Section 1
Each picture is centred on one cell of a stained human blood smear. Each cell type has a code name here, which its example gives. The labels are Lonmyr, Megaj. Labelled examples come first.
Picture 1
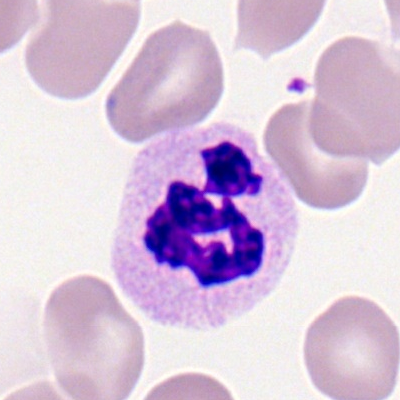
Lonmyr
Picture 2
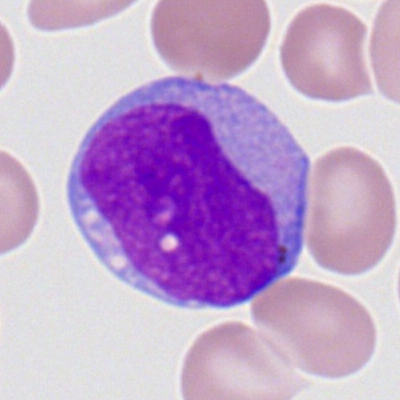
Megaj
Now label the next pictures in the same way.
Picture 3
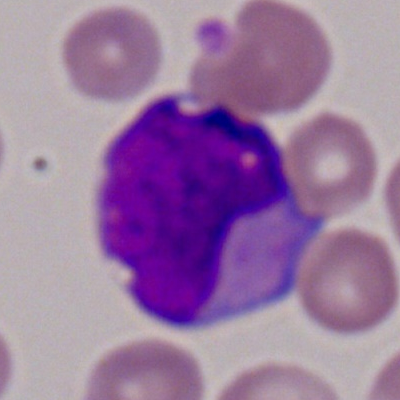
Megaj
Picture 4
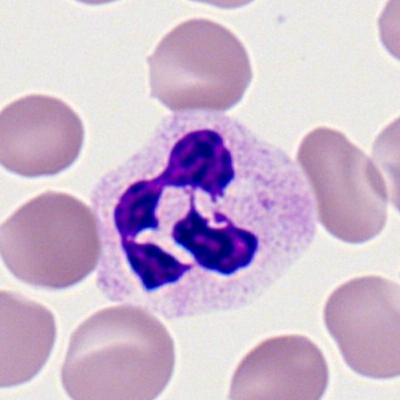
Lonmyr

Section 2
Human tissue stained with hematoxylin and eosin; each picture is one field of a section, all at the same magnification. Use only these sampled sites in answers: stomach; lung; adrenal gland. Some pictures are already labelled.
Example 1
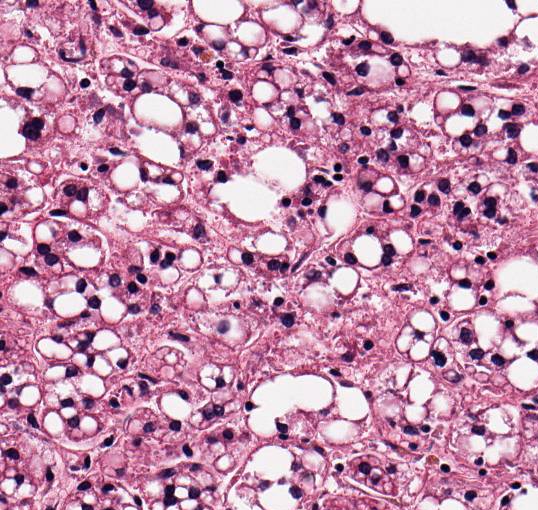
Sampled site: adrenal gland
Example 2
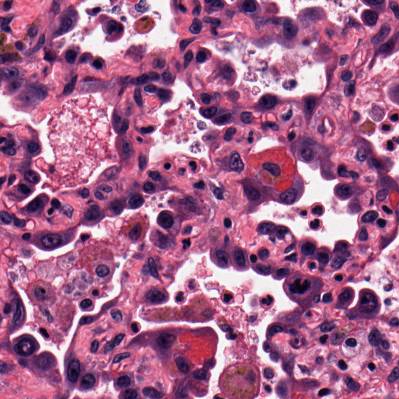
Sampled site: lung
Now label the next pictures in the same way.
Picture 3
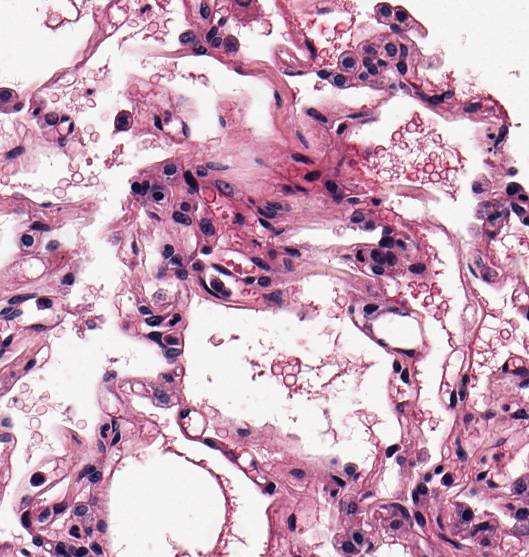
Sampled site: lung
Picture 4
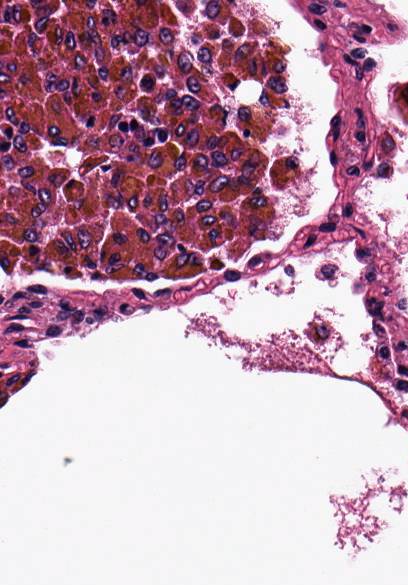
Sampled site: lung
